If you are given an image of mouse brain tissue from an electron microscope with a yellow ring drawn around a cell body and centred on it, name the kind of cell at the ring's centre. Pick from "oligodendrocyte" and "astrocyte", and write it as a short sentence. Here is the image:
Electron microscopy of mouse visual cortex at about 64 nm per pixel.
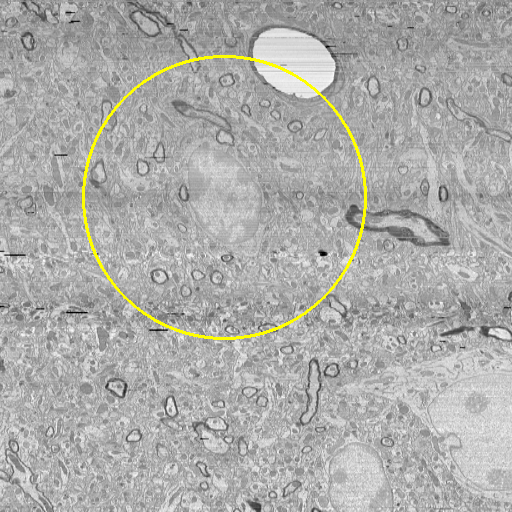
The cell at the ring's centre is an oligodendrocyte.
